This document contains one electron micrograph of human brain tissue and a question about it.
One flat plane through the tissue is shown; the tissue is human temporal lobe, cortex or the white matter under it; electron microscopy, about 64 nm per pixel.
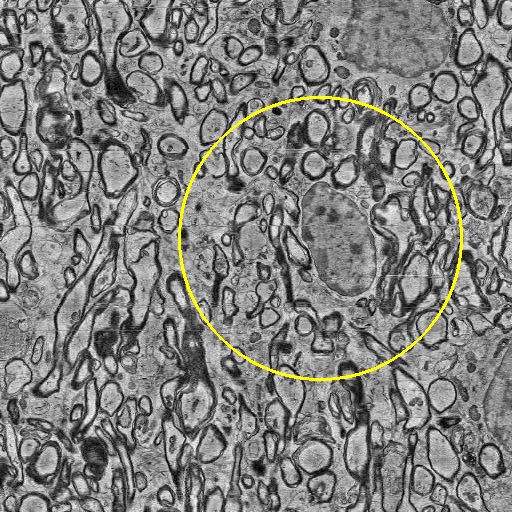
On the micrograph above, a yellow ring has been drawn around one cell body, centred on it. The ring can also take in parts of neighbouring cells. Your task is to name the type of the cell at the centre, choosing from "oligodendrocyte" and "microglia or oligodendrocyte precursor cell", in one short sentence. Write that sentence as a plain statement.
Here the ring is centred on a microglial cell or oligodendrocyte precursor cell.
